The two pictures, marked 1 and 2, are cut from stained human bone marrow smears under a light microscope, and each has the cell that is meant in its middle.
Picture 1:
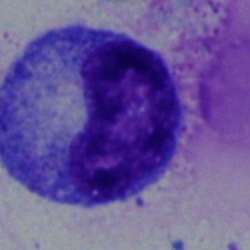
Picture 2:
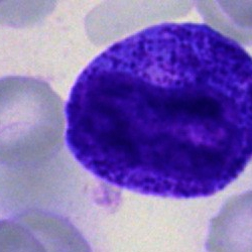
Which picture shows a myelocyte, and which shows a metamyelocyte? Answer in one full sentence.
Picture 2 shows a myelocyte, while picture 1 shows a metamyelocyte.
